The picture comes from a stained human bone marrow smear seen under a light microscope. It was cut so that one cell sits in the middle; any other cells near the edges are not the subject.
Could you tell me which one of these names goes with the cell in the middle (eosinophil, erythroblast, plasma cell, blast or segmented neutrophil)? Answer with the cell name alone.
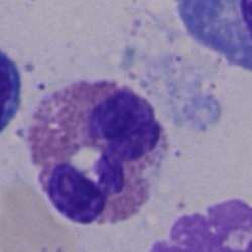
eosinophil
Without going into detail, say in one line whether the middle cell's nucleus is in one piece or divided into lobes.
The nucleus here is split into two or more lobes, not one.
